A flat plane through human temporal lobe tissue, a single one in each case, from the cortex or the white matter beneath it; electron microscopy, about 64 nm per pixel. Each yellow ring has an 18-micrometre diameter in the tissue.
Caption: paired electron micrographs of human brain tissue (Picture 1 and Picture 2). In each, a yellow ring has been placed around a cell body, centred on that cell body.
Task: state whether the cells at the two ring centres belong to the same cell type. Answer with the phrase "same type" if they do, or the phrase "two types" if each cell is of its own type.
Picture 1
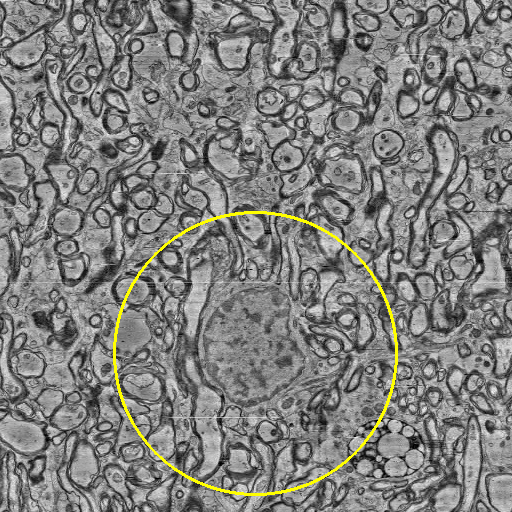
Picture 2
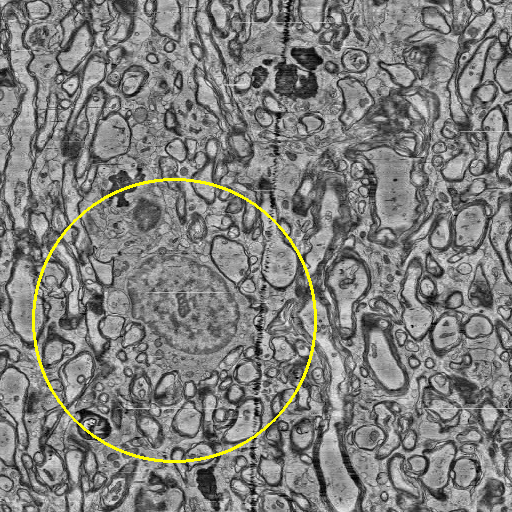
same type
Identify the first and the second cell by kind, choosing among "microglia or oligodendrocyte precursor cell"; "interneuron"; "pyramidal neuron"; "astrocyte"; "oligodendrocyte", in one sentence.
Each of the two pictures has an oligodendrocyte at the ring centre.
